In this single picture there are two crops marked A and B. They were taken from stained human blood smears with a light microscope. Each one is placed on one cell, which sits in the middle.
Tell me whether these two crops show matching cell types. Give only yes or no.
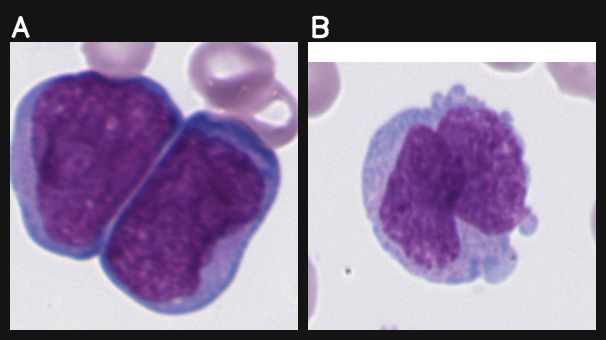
no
